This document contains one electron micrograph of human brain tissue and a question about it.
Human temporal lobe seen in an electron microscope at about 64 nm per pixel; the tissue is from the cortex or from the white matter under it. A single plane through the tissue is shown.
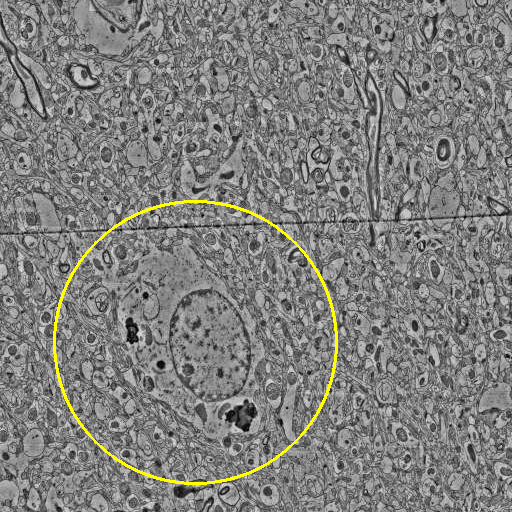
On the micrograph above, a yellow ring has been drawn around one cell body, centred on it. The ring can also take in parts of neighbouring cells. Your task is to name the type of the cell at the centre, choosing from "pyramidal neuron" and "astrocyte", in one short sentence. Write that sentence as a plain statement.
Here the ring is centred on an astrocyte.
